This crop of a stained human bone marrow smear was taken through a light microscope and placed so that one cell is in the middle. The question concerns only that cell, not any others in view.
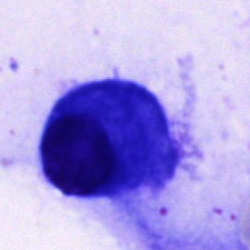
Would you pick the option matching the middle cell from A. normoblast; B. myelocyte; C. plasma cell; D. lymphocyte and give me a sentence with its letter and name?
The centrally positioned cell is a plasma cell, consistent with option C, which is correct.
